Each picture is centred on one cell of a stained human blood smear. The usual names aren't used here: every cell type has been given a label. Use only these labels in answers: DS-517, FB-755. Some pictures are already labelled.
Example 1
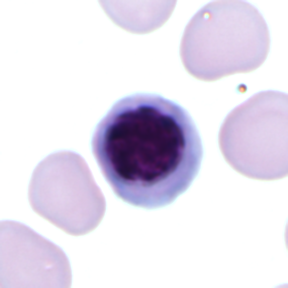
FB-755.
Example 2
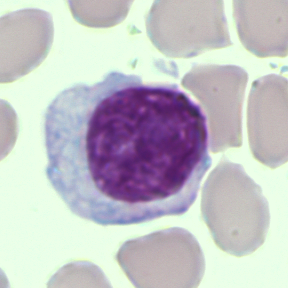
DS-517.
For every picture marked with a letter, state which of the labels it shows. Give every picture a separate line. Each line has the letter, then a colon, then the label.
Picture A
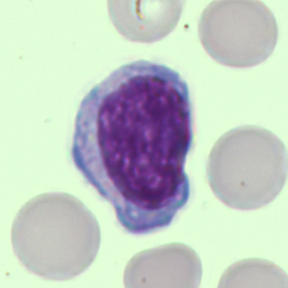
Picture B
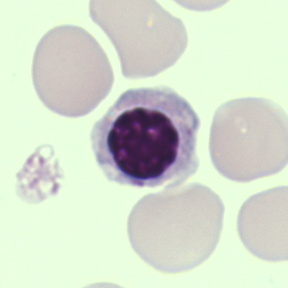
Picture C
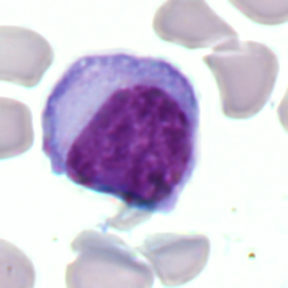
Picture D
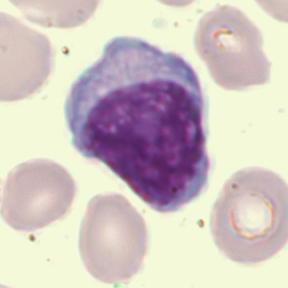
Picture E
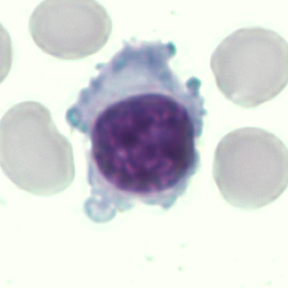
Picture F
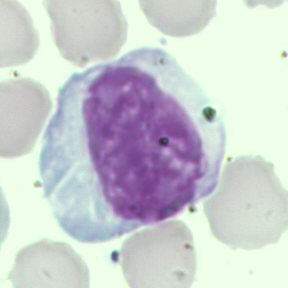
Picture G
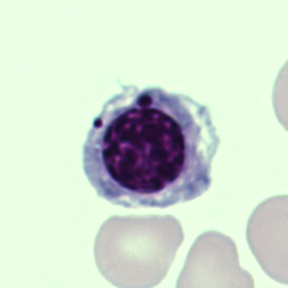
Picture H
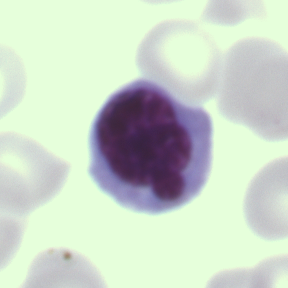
A: DS-517.
B: FB-755.
C: DS-517.
D: DS-517.
E: DS-517.
F: DS-517.
G: FB-755.
H: FB-755.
